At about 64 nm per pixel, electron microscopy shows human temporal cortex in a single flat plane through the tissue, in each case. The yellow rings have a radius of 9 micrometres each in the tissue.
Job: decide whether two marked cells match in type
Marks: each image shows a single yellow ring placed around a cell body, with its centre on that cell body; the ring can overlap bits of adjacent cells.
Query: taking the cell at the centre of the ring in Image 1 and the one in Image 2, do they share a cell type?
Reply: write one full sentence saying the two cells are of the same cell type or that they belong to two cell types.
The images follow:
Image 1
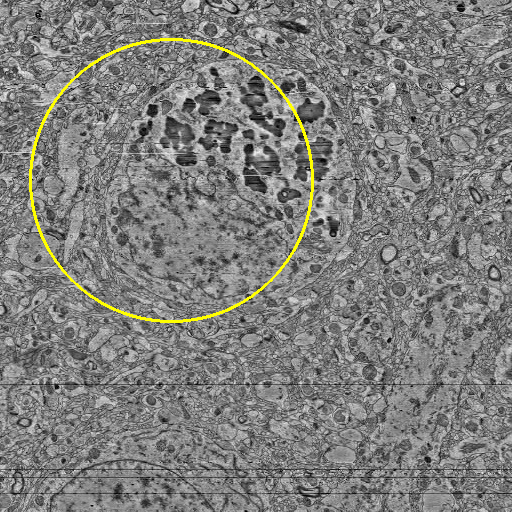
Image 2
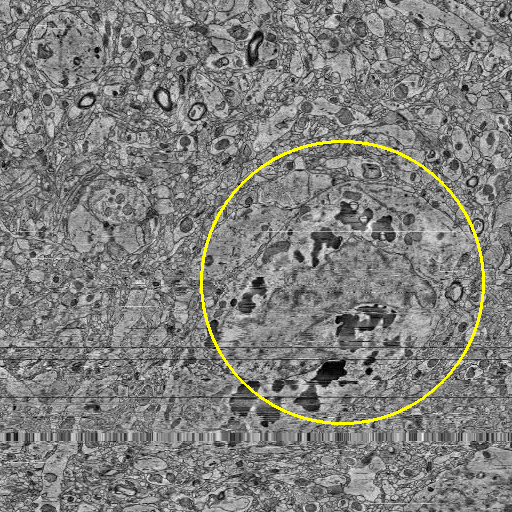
The cells at the ring centres in Image 1 and Image 2 are of the same cell type.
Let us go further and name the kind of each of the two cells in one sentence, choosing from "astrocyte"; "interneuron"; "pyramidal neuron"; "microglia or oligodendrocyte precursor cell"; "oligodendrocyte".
In both pictures the ring is centred on an interneuron.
